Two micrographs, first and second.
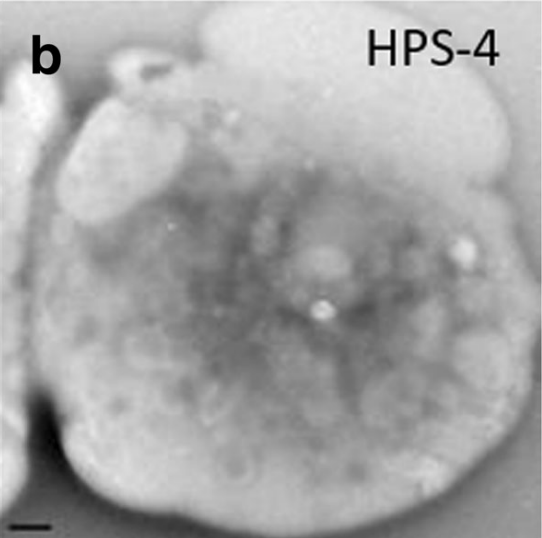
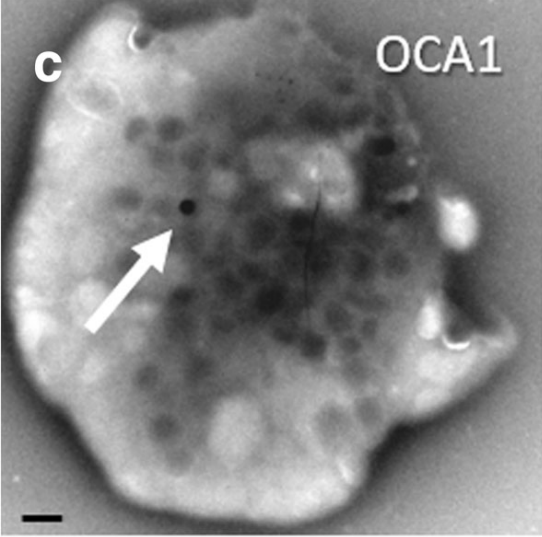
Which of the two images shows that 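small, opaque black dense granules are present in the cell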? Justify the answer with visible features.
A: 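Second image: a small, sharply defined black dot lies inside the cell among grey inclusions. First image: only grey and pale rounded inclusions are seen, with no sharply black dots. That points to this answer: the second image.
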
